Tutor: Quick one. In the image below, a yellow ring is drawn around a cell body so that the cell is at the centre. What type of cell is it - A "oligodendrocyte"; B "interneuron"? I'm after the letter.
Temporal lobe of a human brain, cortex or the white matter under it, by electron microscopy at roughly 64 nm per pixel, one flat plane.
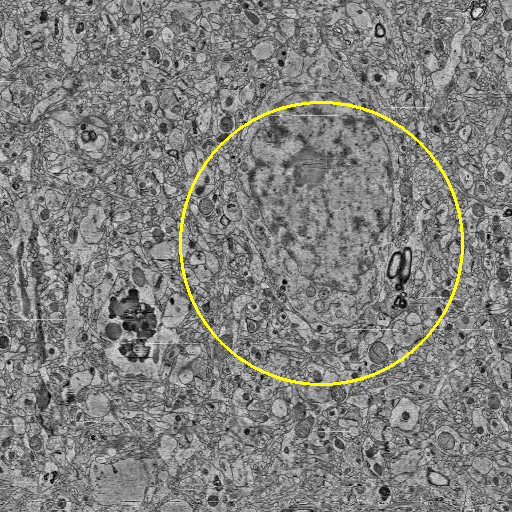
B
